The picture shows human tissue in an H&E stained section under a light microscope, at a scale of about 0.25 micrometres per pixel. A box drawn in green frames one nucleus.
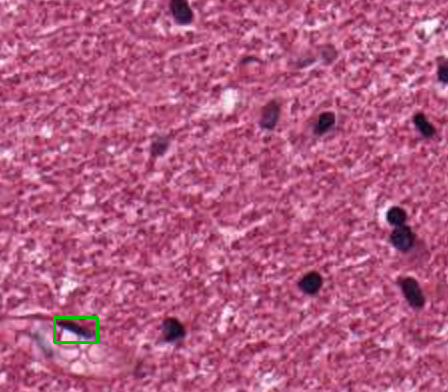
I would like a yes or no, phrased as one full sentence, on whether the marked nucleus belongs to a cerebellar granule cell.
No, it is a supporting cell, not a cerebellar granule cell, to which the marked nucleus belongs.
